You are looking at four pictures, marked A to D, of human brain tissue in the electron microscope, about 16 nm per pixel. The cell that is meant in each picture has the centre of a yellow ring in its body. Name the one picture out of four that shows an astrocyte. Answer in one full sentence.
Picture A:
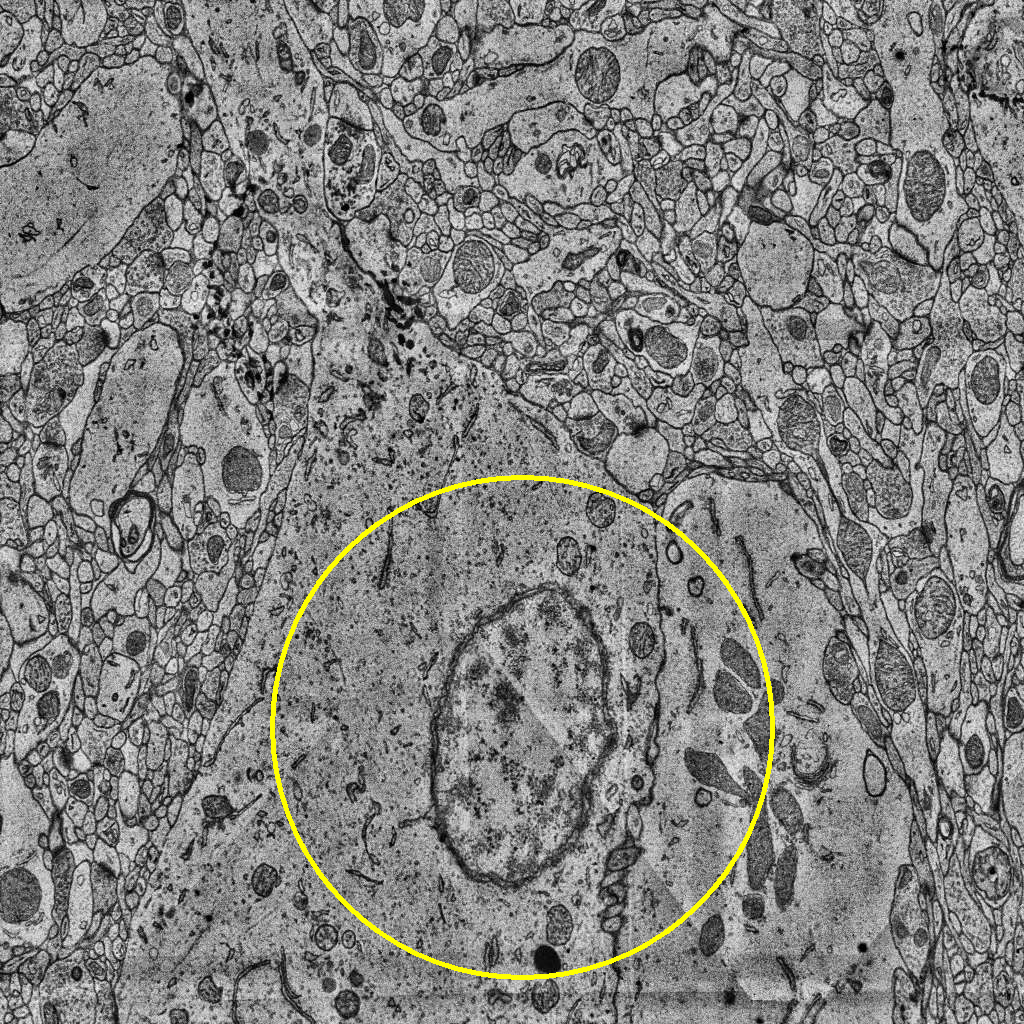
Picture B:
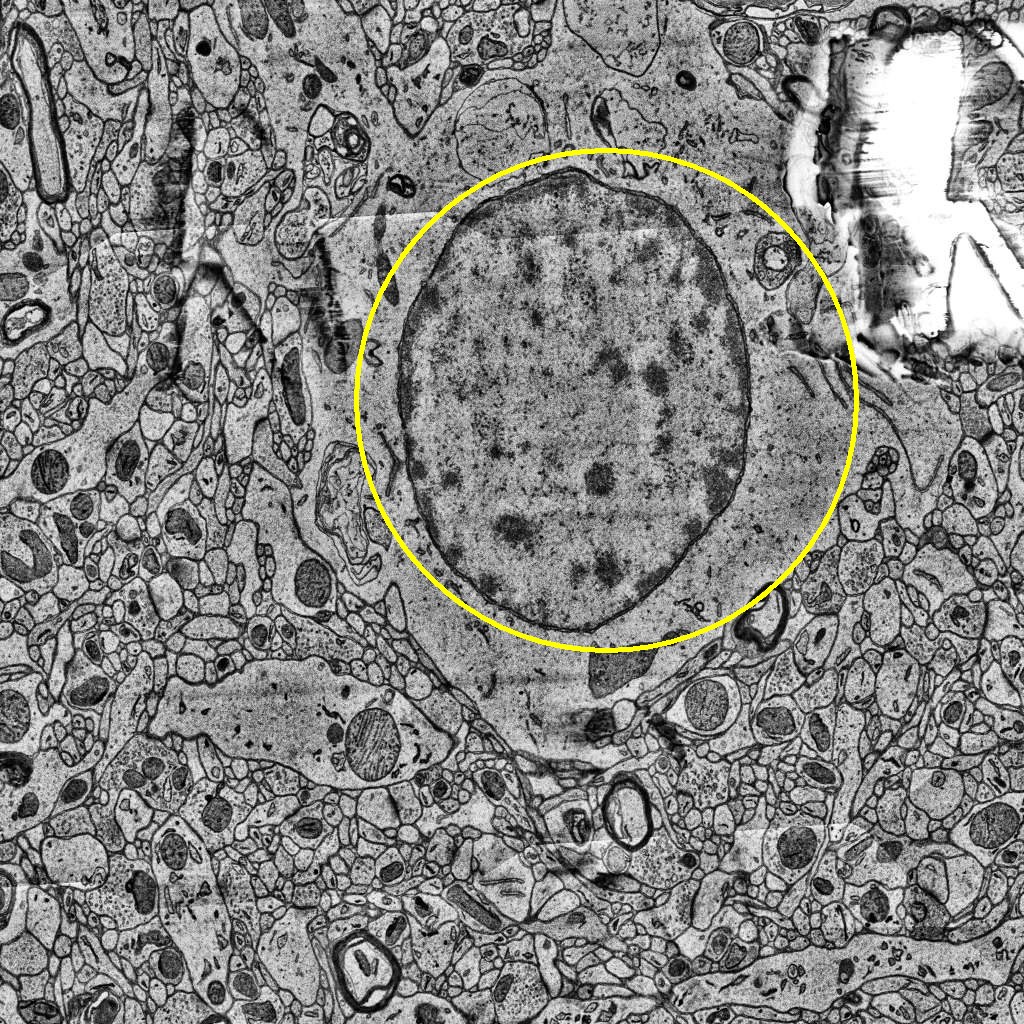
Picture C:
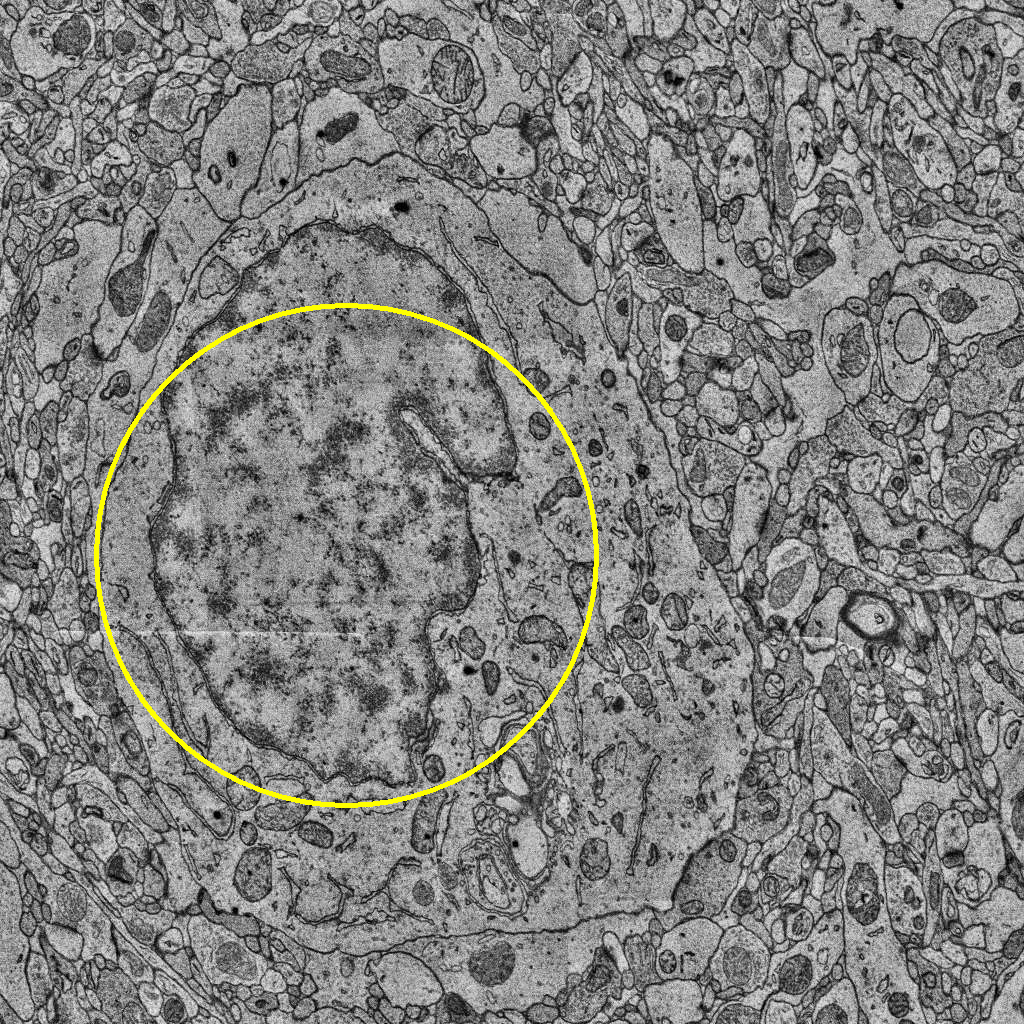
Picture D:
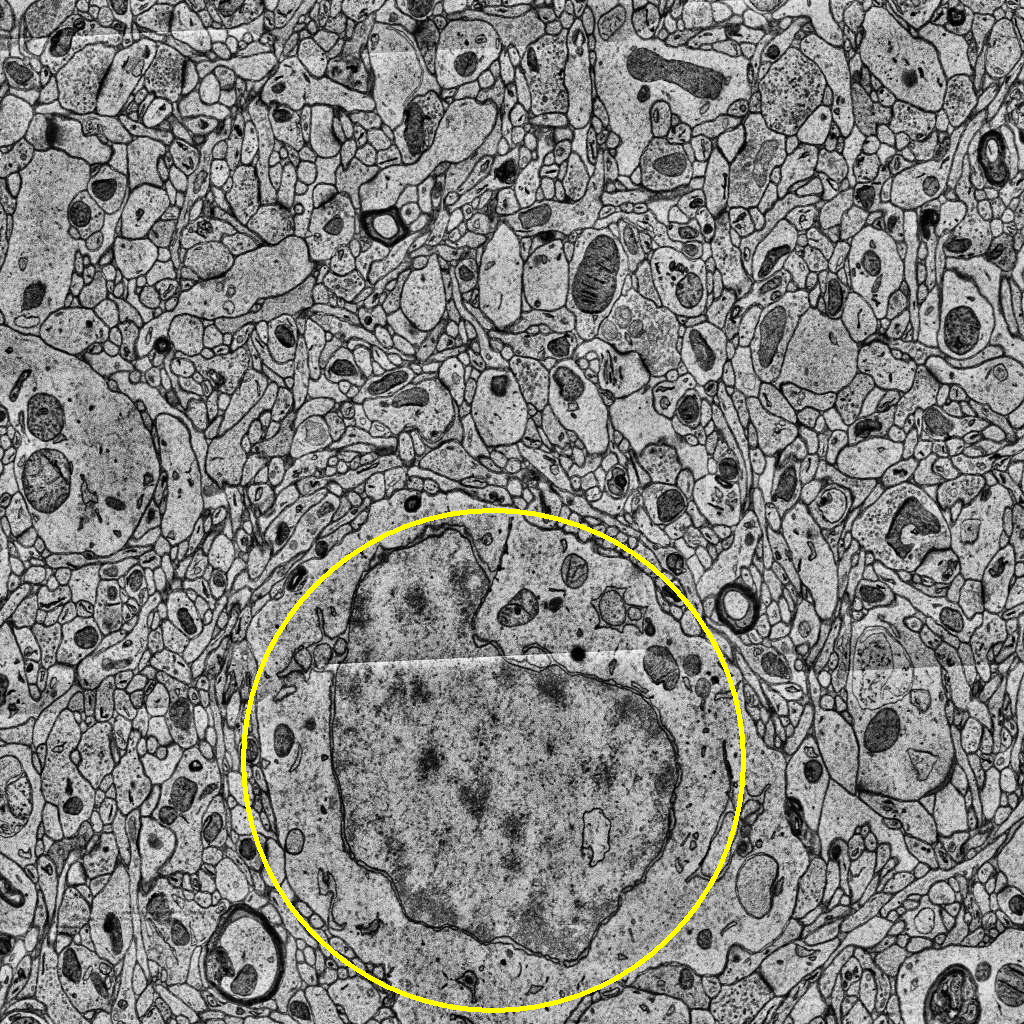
The astrocyte is the one in picture B.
